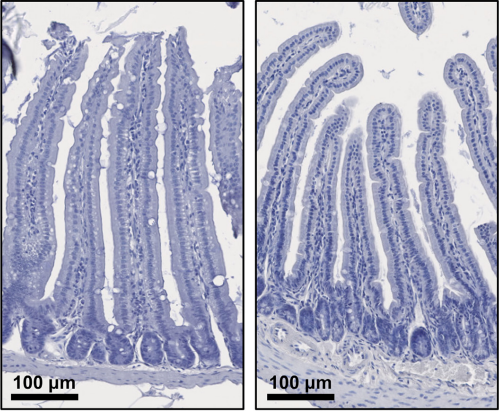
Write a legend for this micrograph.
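Two side-by-side sections of small intestinal mucosa show the crypt-villus architecture in blue. Long, slender finger-like villi rise from the base, each covered by a single layer of tall columnar epithelial cells with elongated nuclei, around a narrow core of connective tissue. At the bottom, short rounded crypts lie packed side by side just above a thin band of smooth muscle.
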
